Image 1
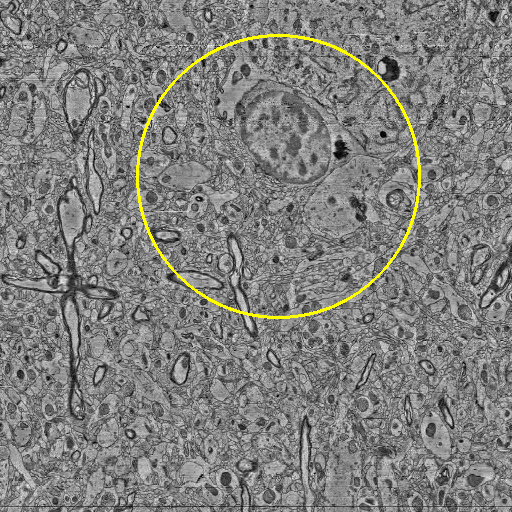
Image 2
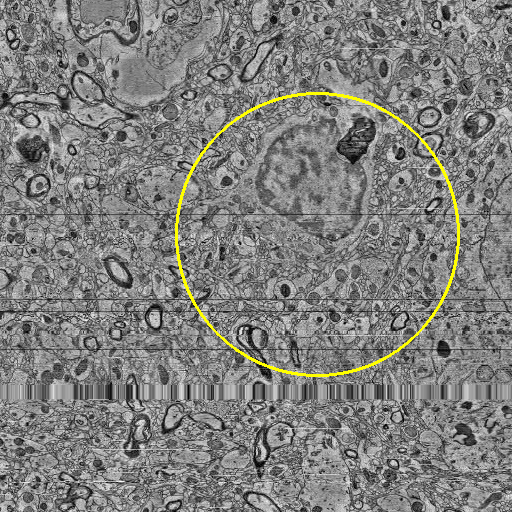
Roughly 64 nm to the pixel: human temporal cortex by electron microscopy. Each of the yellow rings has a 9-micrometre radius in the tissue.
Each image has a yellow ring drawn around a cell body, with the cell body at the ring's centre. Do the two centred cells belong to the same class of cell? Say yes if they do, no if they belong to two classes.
yes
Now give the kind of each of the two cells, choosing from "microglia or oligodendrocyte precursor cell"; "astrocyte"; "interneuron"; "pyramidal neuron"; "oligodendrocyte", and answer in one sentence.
Both the first and the second picture show an oligodendrocyte in the ring.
